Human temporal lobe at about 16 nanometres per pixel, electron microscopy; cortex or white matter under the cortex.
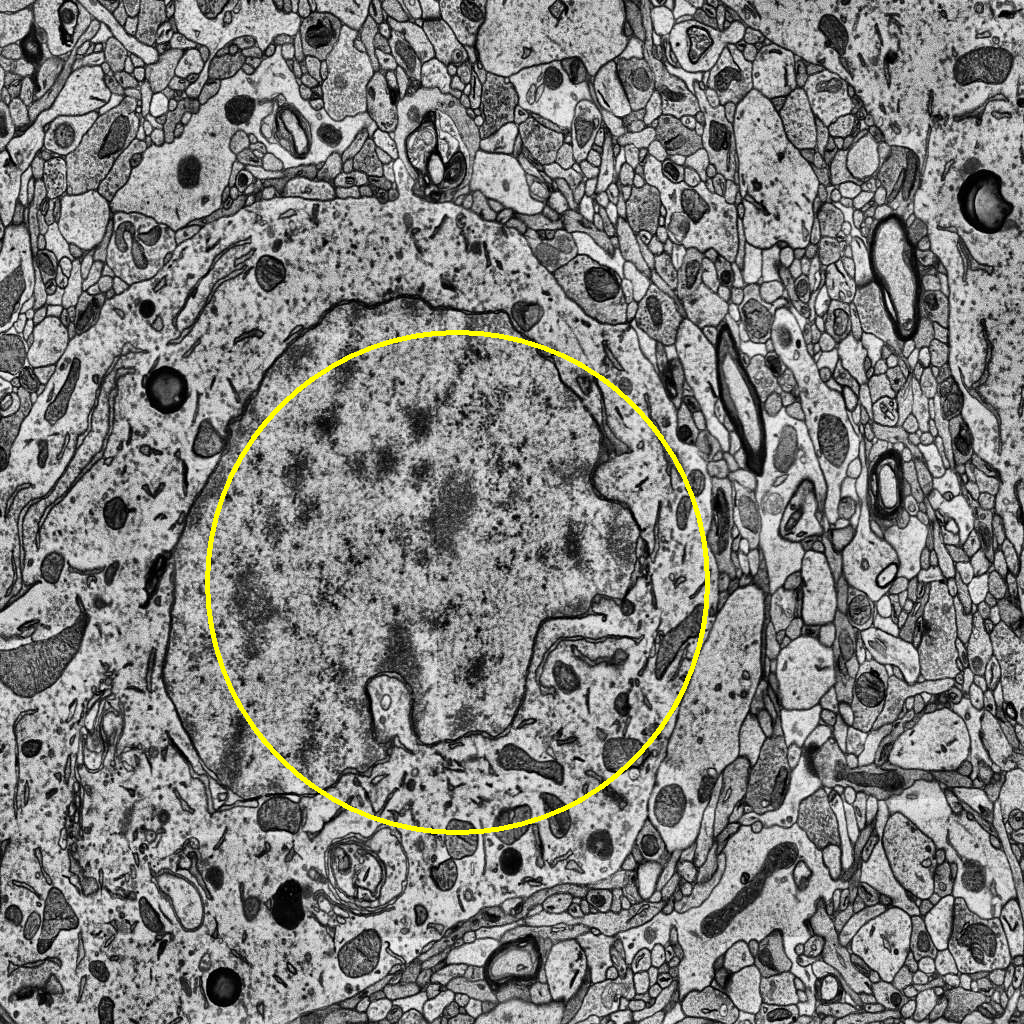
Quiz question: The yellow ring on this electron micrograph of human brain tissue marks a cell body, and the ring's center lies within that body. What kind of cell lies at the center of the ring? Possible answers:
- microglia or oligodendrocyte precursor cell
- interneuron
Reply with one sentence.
The ring's center lies on an interneuron.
